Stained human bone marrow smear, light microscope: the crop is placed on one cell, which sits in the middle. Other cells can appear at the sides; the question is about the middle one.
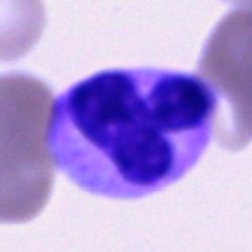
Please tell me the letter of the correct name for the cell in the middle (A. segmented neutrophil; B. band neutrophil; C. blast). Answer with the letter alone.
A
